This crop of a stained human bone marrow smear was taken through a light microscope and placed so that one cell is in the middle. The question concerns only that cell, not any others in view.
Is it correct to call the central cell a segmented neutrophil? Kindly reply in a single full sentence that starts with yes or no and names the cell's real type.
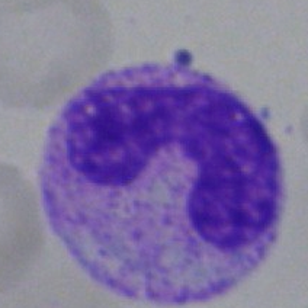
No, this cell in the middle is a band neutrophil, so it is not a segmented neutrophil.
